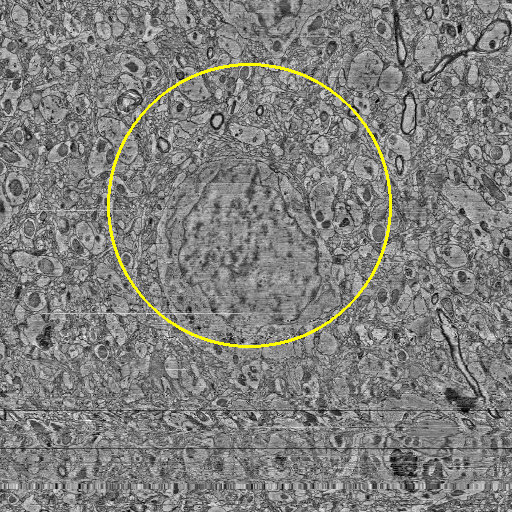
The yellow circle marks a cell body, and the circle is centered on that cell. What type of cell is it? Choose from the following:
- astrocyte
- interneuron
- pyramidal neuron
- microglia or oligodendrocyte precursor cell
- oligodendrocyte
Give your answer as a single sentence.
This cell body belongs to an interneuron.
